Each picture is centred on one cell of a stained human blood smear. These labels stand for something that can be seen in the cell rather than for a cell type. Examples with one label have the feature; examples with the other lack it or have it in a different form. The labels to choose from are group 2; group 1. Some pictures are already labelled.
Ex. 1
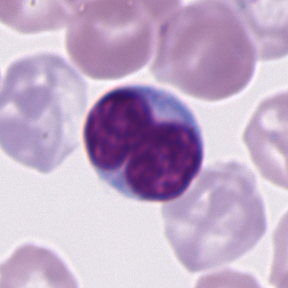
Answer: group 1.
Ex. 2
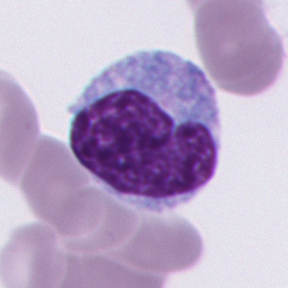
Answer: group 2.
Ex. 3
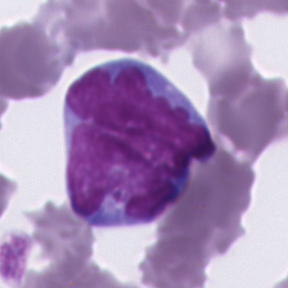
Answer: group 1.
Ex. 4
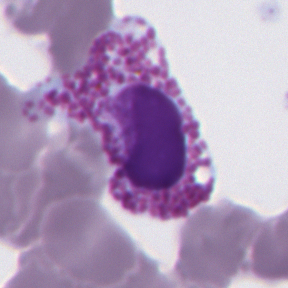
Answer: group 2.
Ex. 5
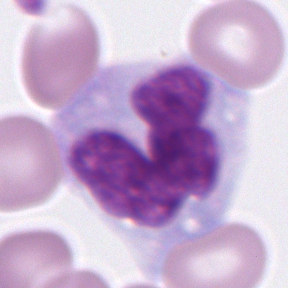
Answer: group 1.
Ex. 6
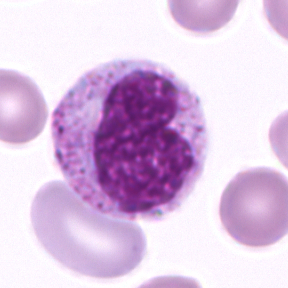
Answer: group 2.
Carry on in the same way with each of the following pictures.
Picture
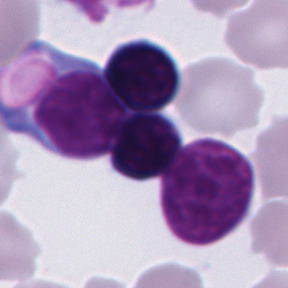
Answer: group 2.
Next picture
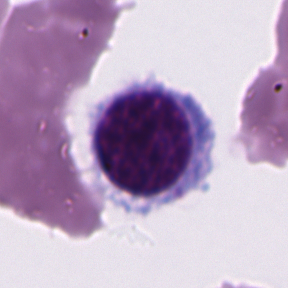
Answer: group 2.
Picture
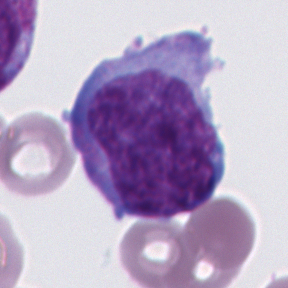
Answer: group 2.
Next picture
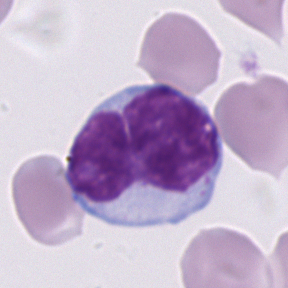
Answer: group 1.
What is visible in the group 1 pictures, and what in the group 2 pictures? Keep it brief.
group 1, lobed nucleus; group 2, single compact nucleus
